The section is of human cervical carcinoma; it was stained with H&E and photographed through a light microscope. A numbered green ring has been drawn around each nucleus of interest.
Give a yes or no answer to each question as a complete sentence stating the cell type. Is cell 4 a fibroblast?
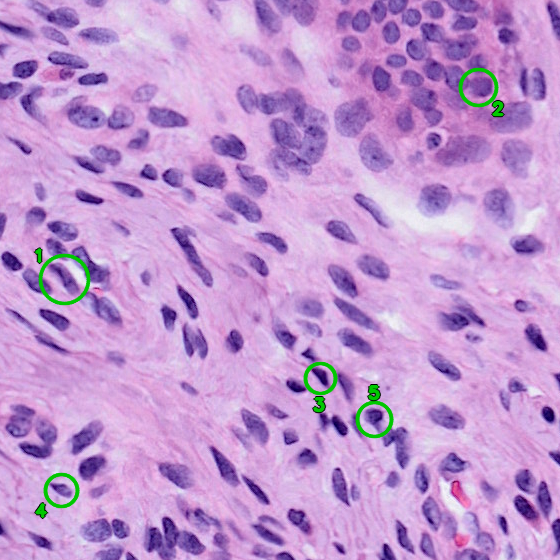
Yes, number 4 is assigned to a cell that is a fibroblast.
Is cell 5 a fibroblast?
Yes, the cell with the mark numbered 5 is a fibroblast.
